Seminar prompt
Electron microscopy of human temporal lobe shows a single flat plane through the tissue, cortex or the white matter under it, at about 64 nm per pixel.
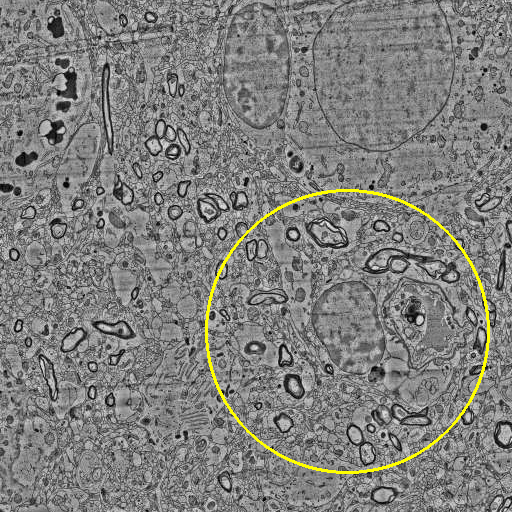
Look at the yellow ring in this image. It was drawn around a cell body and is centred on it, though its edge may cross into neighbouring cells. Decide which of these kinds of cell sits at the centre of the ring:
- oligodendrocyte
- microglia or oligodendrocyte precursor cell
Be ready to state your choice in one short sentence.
The kind of cell at the ring's centre is a microglial cell or oligodendrocyte precursor cell.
